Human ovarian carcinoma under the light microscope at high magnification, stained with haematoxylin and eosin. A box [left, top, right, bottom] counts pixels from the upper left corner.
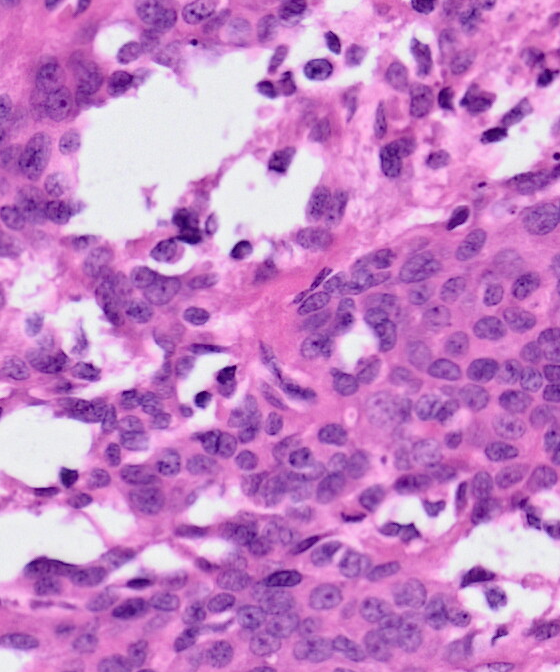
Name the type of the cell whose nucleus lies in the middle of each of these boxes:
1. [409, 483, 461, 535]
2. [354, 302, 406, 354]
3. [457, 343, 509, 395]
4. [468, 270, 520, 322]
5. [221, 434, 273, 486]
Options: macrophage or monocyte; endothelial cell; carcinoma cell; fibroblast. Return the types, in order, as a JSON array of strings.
["macrophage or monocyte", "carcinoma cell", "carcinoma cell", "macrophage or monocyte", "macrophage or monocyte"]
